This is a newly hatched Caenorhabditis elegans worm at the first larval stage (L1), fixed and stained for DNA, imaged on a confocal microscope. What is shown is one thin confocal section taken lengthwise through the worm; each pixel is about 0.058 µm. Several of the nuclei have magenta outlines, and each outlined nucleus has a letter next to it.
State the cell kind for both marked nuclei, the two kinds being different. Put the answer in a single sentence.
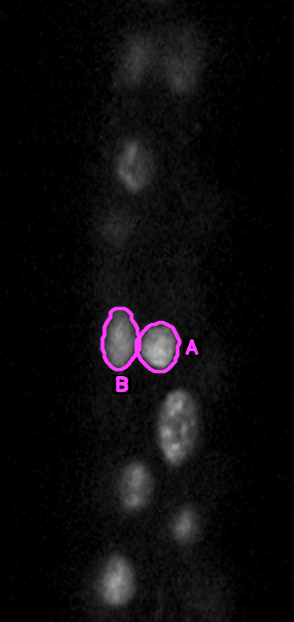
One is from a neuron, namely A, and the other, B, is from a P cell (ventral epidermal blast cell).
